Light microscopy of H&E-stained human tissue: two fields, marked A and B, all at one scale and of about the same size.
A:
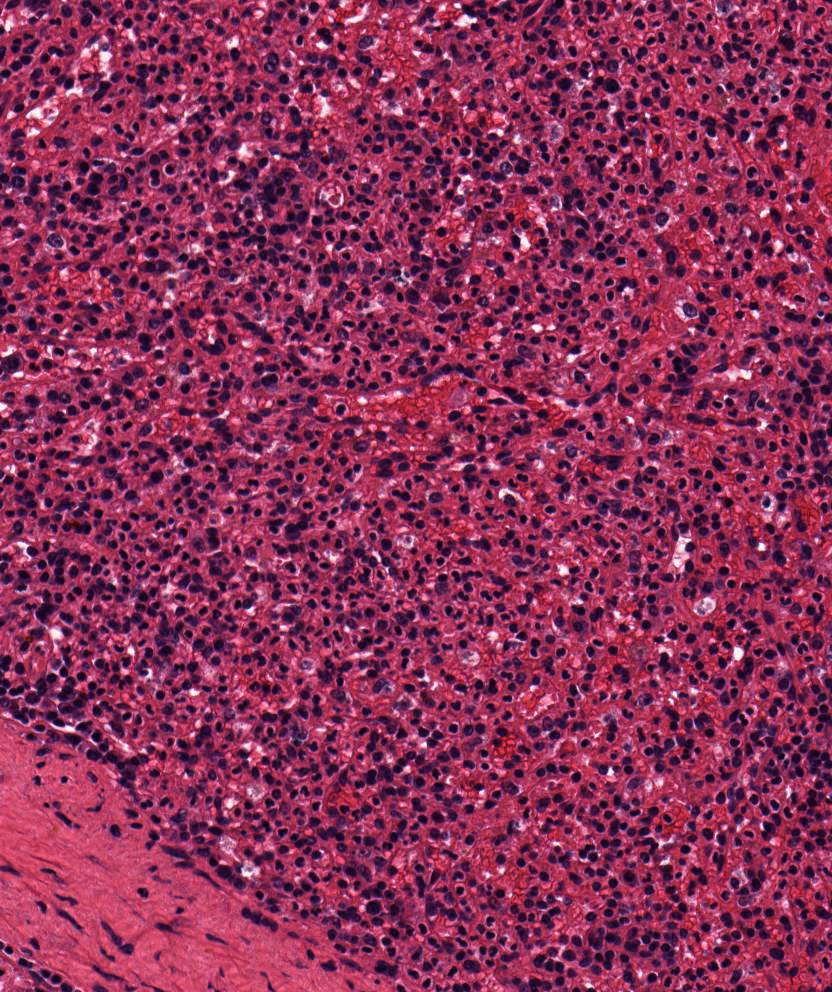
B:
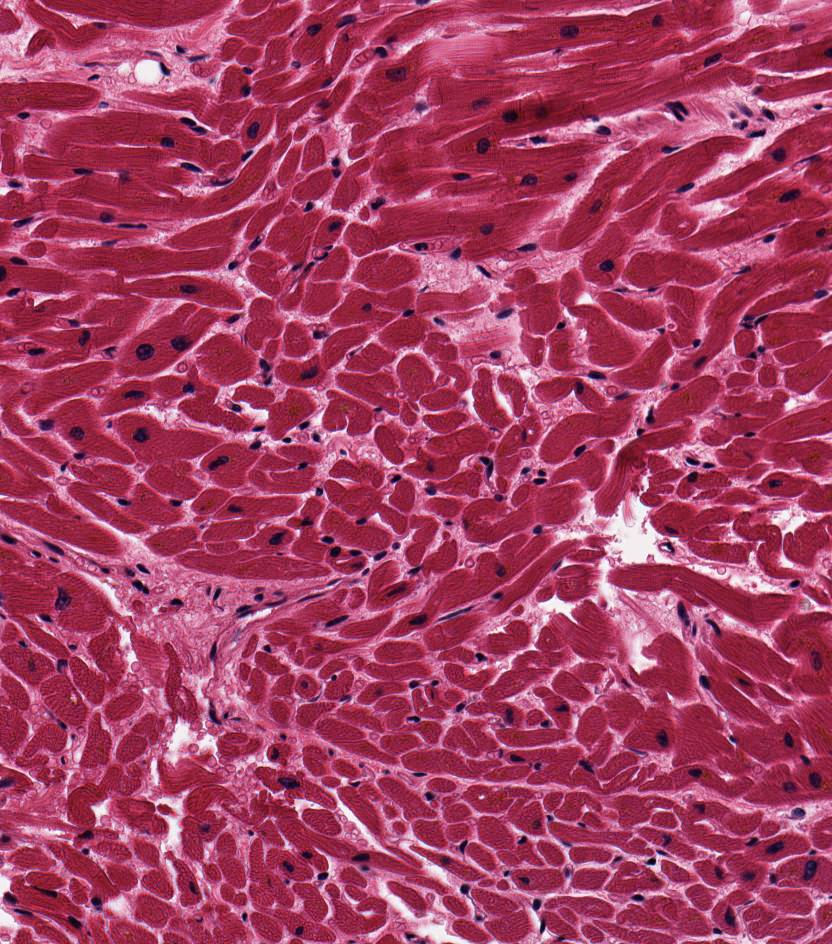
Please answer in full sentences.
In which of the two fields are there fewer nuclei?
Field B holds fewer nuclei than field A.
